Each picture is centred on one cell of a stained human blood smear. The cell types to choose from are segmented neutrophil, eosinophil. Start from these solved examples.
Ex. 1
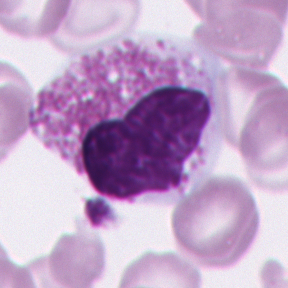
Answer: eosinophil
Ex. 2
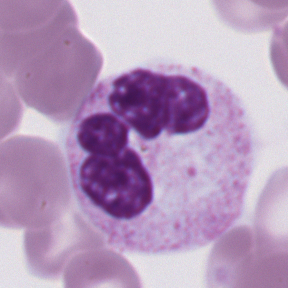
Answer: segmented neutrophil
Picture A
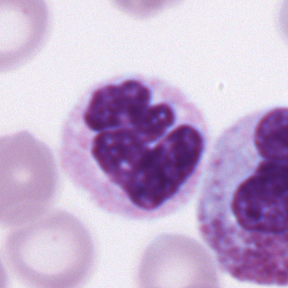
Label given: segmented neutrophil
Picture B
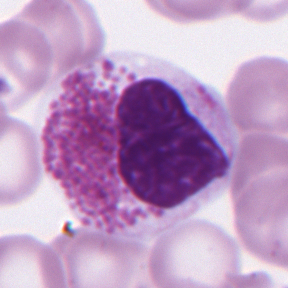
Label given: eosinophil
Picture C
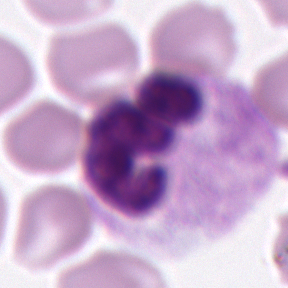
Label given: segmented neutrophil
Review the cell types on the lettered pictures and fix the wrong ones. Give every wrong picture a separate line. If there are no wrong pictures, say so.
No label is wrong.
